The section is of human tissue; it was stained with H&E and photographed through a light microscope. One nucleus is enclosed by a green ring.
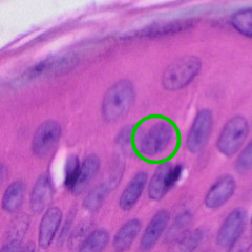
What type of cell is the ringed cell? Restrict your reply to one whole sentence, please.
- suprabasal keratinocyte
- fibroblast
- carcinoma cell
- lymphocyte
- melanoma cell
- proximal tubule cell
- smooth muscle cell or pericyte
In cell-type terms, the ringed cell is a suprabasal keratinocyte.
